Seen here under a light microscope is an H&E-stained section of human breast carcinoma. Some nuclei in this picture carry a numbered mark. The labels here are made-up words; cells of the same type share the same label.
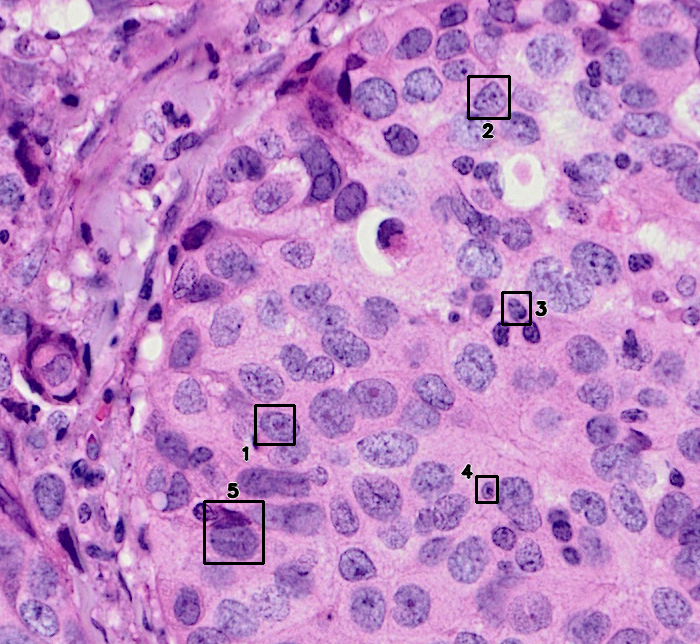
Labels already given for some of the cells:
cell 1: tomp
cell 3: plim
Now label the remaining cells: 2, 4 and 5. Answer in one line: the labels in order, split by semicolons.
tomp; plim; tomp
